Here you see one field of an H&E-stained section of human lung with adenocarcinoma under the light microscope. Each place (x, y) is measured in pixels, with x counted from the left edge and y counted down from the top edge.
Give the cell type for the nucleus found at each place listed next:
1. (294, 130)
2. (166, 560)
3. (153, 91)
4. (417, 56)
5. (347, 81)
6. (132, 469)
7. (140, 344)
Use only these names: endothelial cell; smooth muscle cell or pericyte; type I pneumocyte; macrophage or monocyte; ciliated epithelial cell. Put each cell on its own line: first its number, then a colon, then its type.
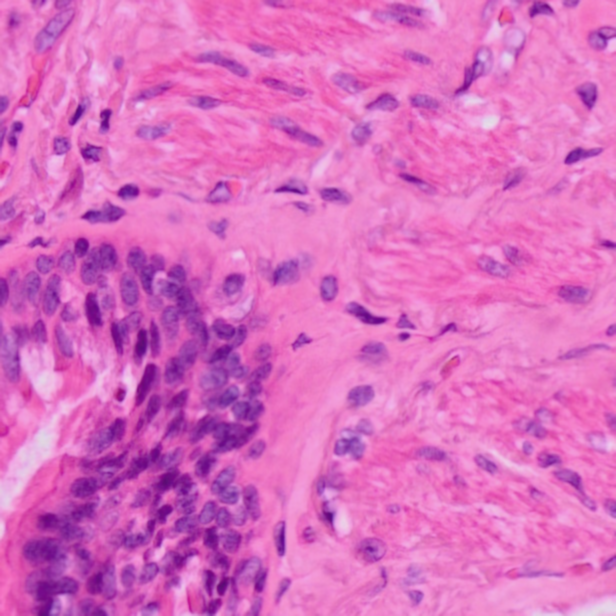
1: smooth muscle cell or pericyte
2: ciliated epithelial cell
3: smooth muscle cell or pericyte
4: smooth muscle cell or pericyte
5: smooth muscle cell or pericyte
6: ciliated epithelial cell
7: ciliated epithelial cell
